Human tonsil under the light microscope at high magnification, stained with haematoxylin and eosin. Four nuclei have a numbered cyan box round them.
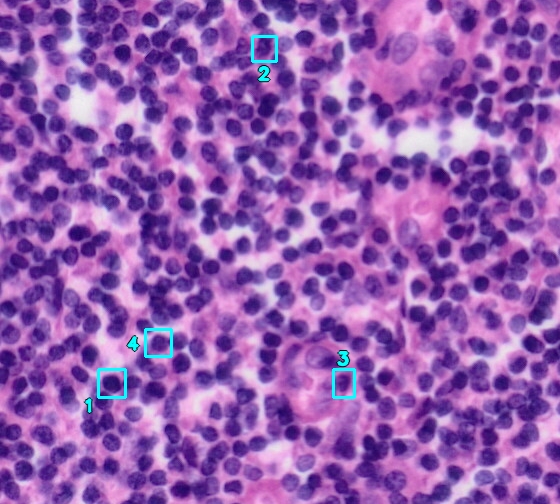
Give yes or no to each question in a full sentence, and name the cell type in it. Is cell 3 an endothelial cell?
Yes, for number 3, the cell is an endothelial cell.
